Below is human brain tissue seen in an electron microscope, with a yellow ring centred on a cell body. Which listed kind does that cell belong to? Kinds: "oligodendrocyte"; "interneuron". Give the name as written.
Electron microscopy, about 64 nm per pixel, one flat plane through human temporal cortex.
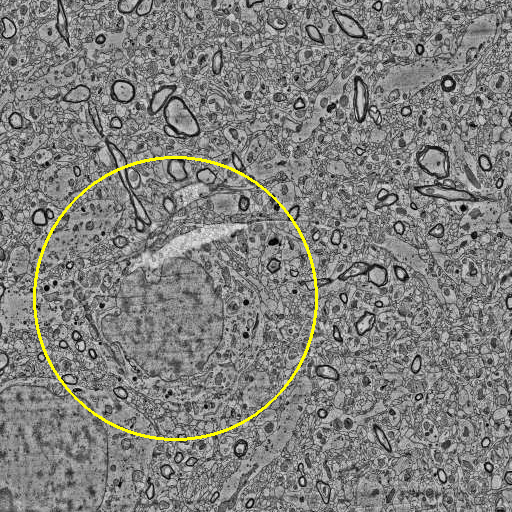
interneuron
